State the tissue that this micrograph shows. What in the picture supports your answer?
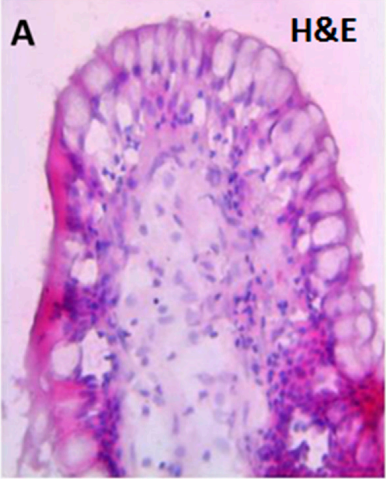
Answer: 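Intestinal villi. A finger-like projection with a loose connective tissue core. The projection is covered by a single columnar epithelium. Pale rounded mucous vacuoles lie within the epithelium.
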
